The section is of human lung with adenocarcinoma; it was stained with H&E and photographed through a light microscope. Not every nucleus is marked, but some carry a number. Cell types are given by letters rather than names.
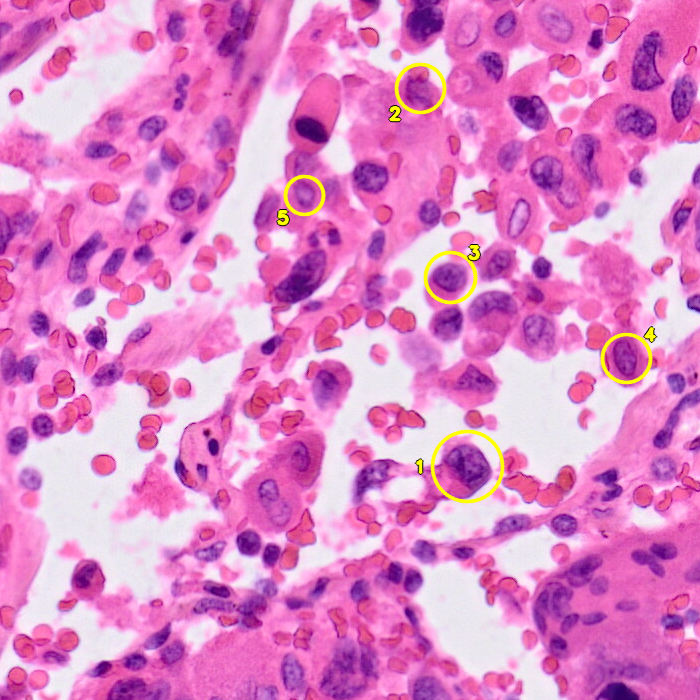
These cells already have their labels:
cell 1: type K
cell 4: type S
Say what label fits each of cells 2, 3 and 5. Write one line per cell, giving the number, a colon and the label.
2: type S
3: type K
5: type S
